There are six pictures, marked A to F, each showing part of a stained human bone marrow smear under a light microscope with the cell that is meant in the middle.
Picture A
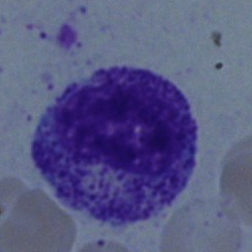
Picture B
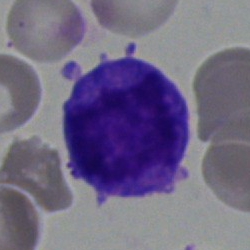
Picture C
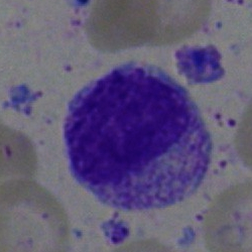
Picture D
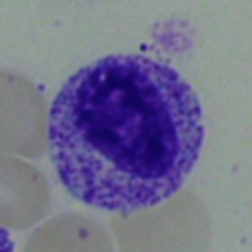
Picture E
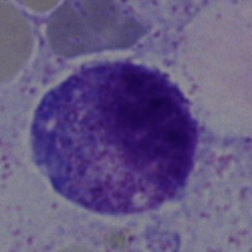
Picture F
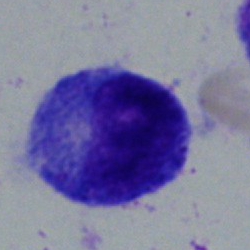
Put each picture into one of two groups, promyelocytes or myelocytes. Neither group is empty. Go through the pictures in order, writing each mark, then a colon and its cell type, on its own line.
A: myelocyte
B: promyelocyte
C: myelocyte
D: myelocyte
E: promyelocyte
F: promyelocyte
